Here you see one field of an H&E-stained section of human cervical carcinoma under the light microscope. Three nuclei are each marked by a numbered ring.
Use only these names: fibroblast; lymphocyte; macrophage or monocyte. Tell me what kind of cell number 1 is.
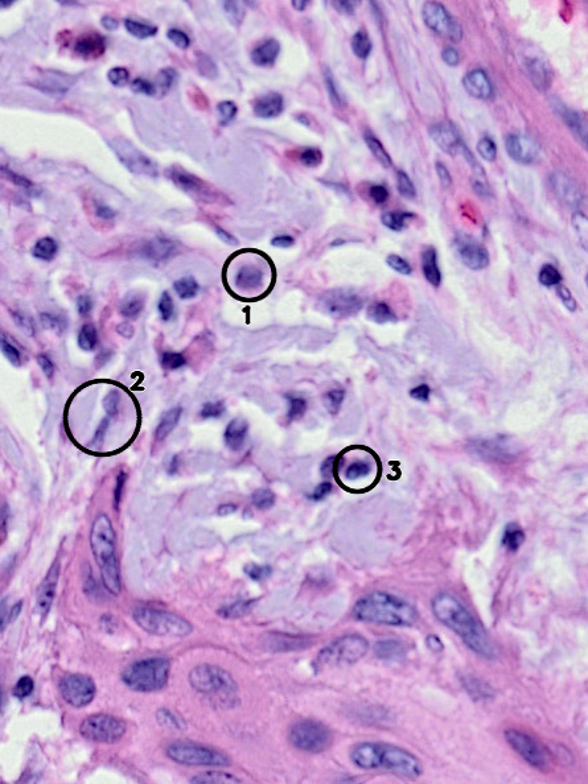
macrophage or monocyte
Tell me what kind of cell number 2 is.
fibroblast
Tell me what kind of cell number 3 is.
lymphocyte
